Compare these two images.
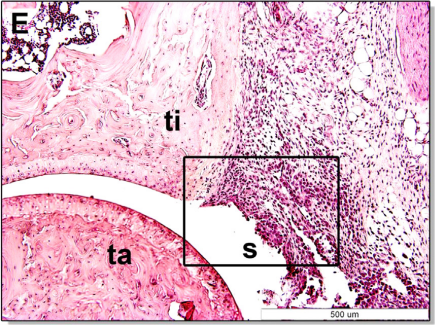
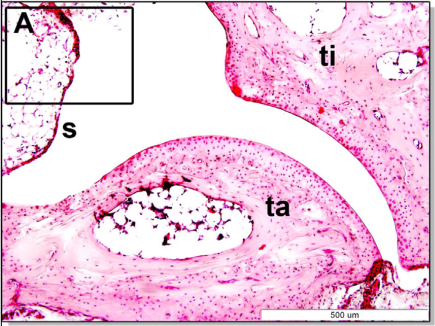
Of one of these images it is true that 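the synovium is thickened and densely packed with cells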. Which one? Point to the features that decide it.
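First image: the synovial tissue beside the joint is broad and crowded with dark nuclei. Second image: the synovium is a thin lining around pale fatty tissue with few nuclei. So: the first image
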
